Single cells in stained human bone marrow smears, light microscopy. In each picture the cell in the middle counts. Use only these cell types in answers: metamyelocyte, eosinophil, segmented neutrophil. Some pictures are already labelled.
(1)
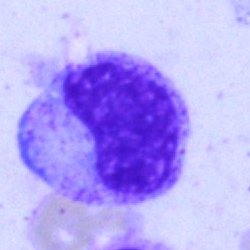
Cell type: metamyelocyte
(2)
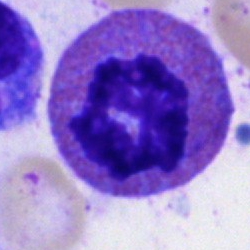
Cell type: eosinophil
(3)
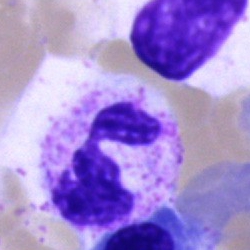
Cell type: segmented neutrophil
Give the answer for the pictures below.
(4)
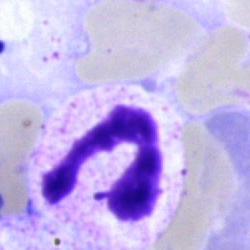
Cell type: segmented neutrophil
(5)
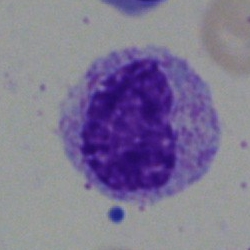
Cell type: metamyelocyte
